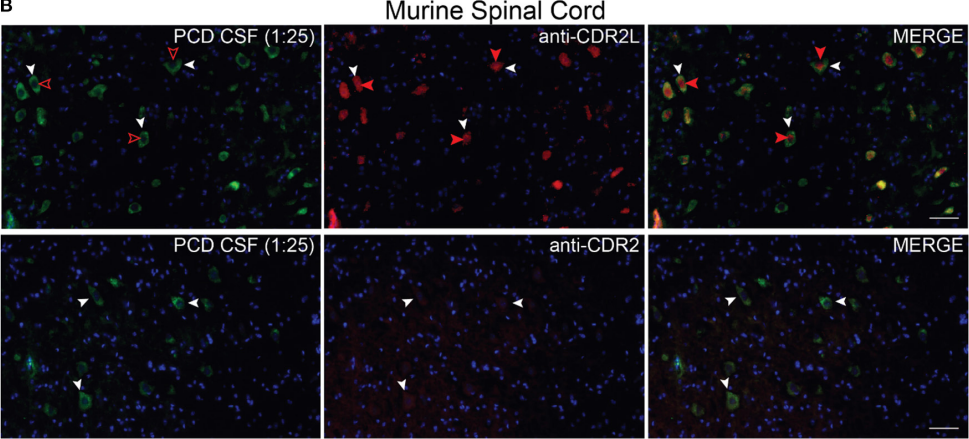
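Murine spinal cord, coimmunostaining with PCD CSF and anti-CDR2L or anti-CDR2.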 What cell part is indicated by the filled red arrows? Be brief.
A: Nuclei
